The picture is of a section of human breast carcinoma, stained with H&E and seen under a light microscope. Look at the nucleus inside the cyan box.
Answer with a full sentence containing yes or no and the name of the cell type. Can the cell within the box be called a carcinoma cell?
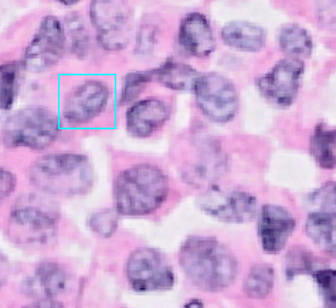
Yes, the statement that the cell within the box is a carcinoma cell is correct.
